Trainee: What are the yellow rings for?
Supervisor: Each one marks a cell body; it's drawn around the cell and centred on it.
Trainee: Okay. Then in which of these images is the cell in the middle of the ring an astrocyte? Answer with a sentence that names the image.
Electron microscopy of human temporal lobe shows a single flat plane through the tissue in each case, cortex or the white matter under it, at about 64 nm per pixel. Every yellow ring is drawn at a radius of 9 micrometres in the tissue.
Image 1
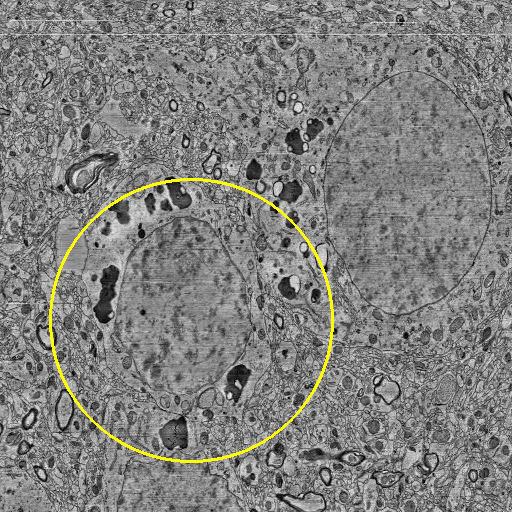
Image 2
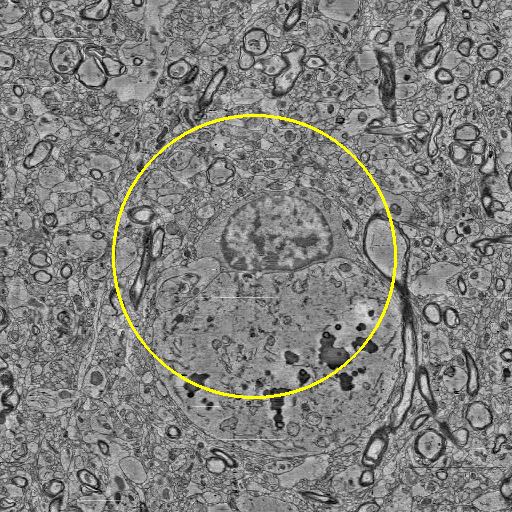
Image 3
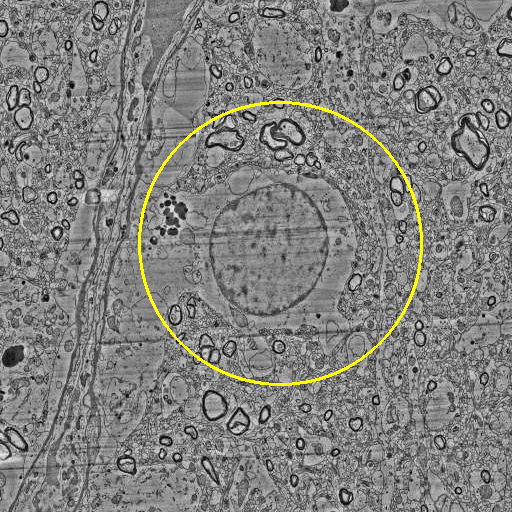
Image 3 has it in the middle of the ring.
